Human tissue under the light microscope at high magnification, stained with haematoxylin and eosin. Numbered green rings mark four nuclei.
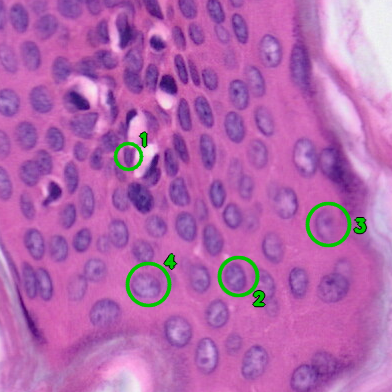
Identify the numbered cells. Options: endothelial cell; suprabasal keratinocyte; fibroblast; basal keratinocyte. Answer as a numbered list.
1. basal keratinocyte
2. suprabasal keratinocyte
3. suprabasal keratinocyte
4. suprabasal keratinocyte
